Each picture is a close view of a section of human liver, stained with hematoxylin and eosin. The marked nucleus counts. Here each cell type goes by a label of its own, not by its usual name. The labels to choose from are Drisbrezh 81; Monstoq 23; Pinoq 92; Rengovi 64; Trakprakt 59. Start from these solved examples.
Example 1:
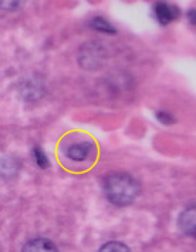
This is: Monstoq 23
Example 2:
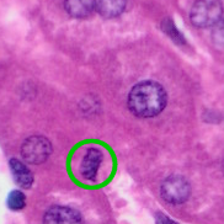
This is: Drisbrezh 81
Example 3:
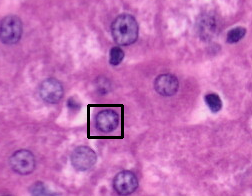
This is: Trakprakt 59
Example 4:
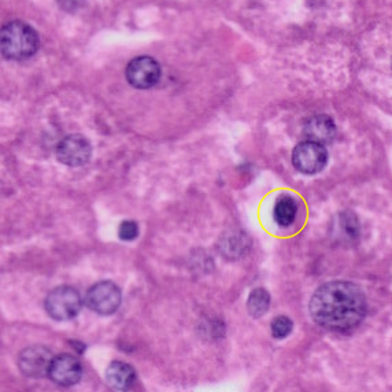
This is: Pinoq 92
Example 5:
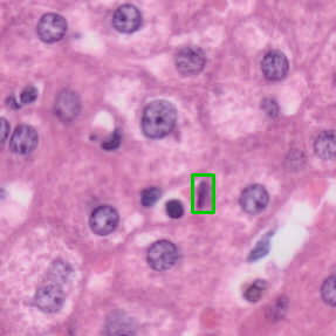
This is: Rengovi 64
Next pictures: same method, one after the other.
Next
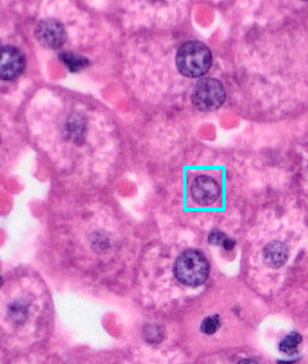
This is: Trakprakt 59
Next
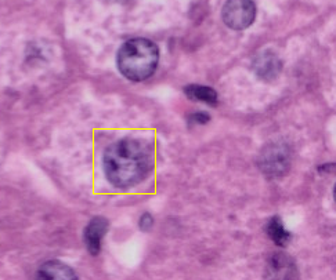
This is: Trakprakt 59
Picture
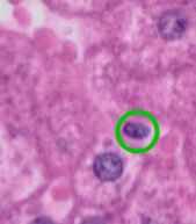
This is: Pinoq 92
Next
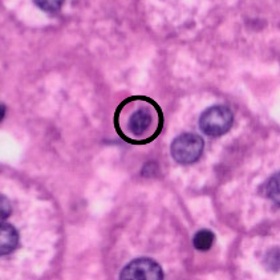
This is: Pinoq 92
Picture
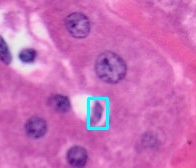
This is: Rengovi 64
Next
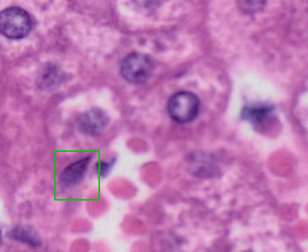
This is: Drisbrezh 81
